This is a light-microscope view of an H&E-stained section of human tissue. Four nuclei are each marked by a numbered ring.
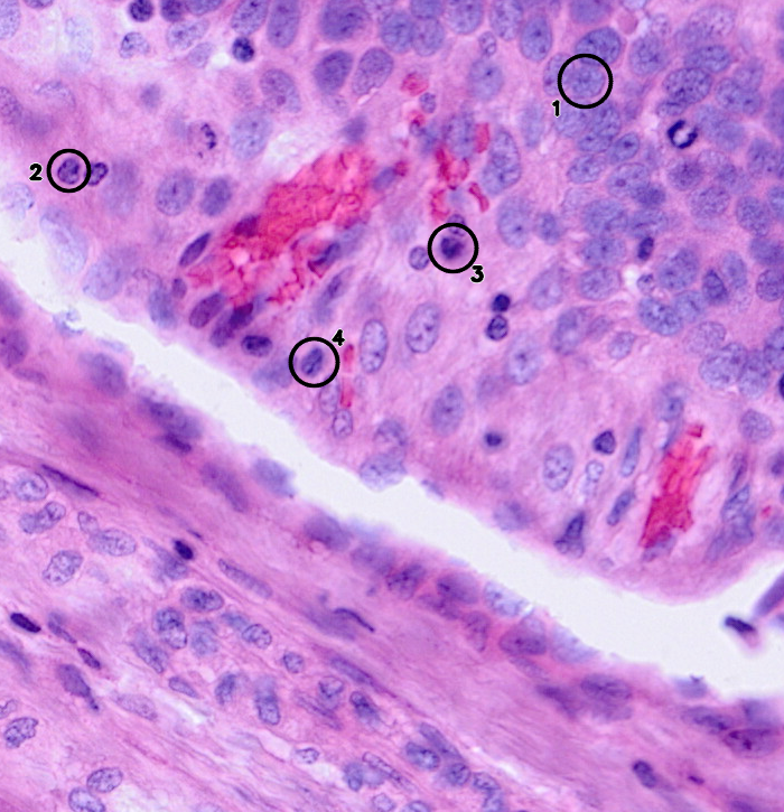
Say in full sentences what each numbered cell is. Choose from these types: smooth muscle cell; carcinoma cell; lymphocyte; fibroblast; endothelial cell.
Cell 1 is a carcinoma cell. Cells 2, 3 and 4 are lymphocytes.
